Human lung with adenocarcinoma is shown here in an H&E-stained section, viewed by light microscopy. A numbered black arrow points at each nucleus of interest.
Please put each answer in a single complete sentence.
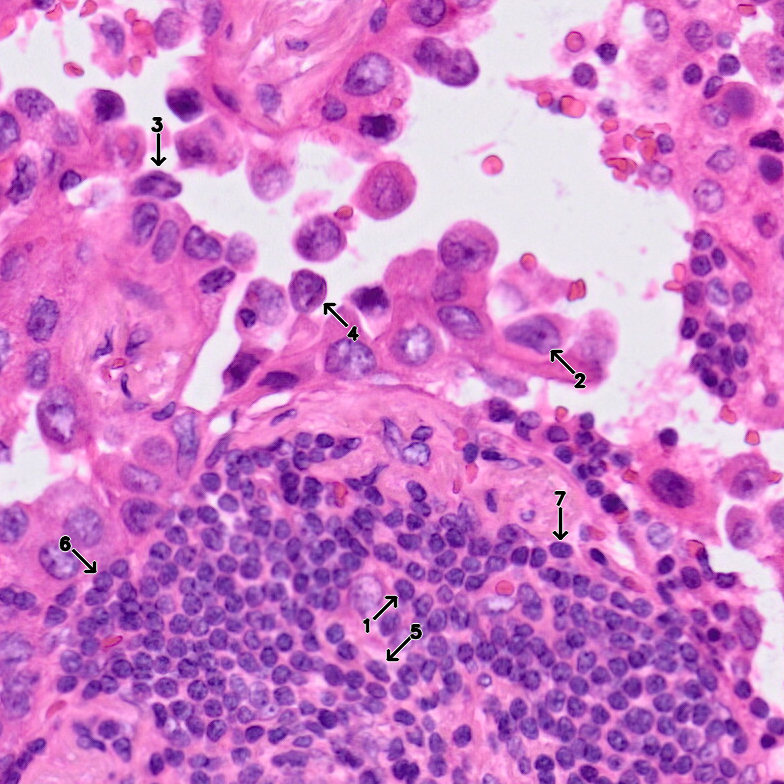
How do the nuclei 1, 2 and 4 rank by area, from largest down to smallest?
The nuclei rank 2, 4, 1, from largest to smallest.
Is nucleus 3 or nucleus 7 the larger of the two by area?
At about 4 times the area of nucleus 7, nucleus 3 is the larger of the two.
